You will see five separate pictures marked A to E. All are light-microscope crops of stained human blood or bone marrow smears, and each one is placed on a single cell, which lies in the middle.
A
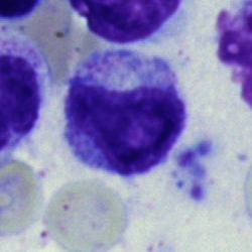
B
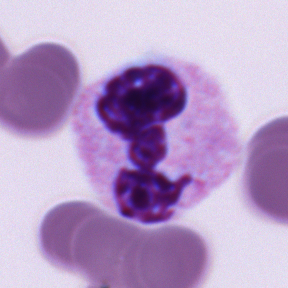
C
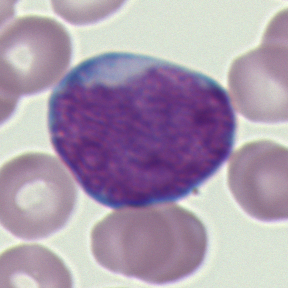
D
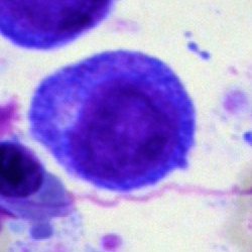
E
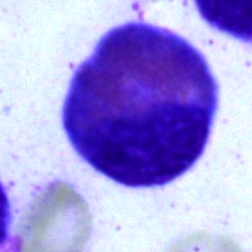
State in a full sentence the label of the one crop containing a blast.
The one showing a blast is the crop labelled C.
